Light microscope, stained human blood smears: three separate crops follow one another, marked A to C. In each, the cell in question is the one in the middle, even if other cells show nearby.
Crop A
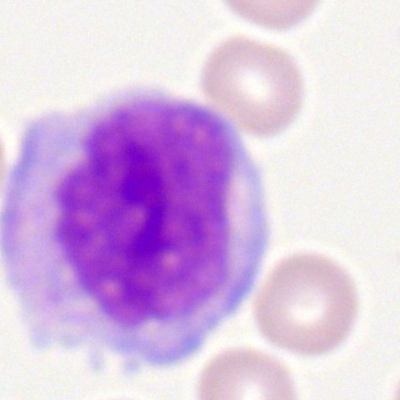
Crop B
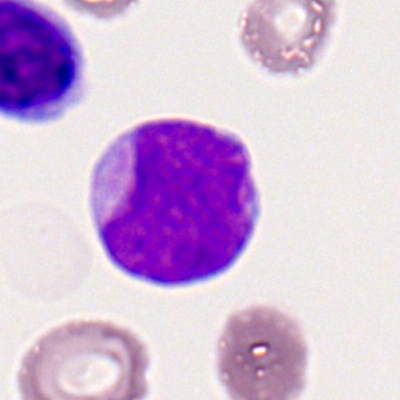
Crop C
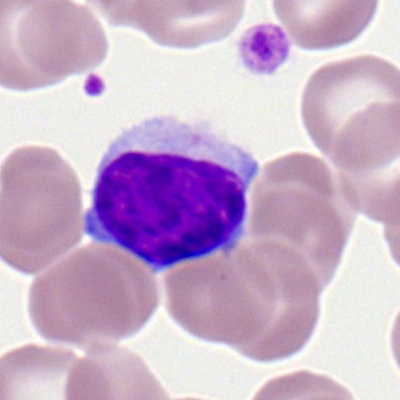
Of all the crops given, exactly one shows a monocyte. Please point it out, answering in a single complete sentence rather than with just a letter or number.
Crop A shows a monocyte, and no other crop does.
